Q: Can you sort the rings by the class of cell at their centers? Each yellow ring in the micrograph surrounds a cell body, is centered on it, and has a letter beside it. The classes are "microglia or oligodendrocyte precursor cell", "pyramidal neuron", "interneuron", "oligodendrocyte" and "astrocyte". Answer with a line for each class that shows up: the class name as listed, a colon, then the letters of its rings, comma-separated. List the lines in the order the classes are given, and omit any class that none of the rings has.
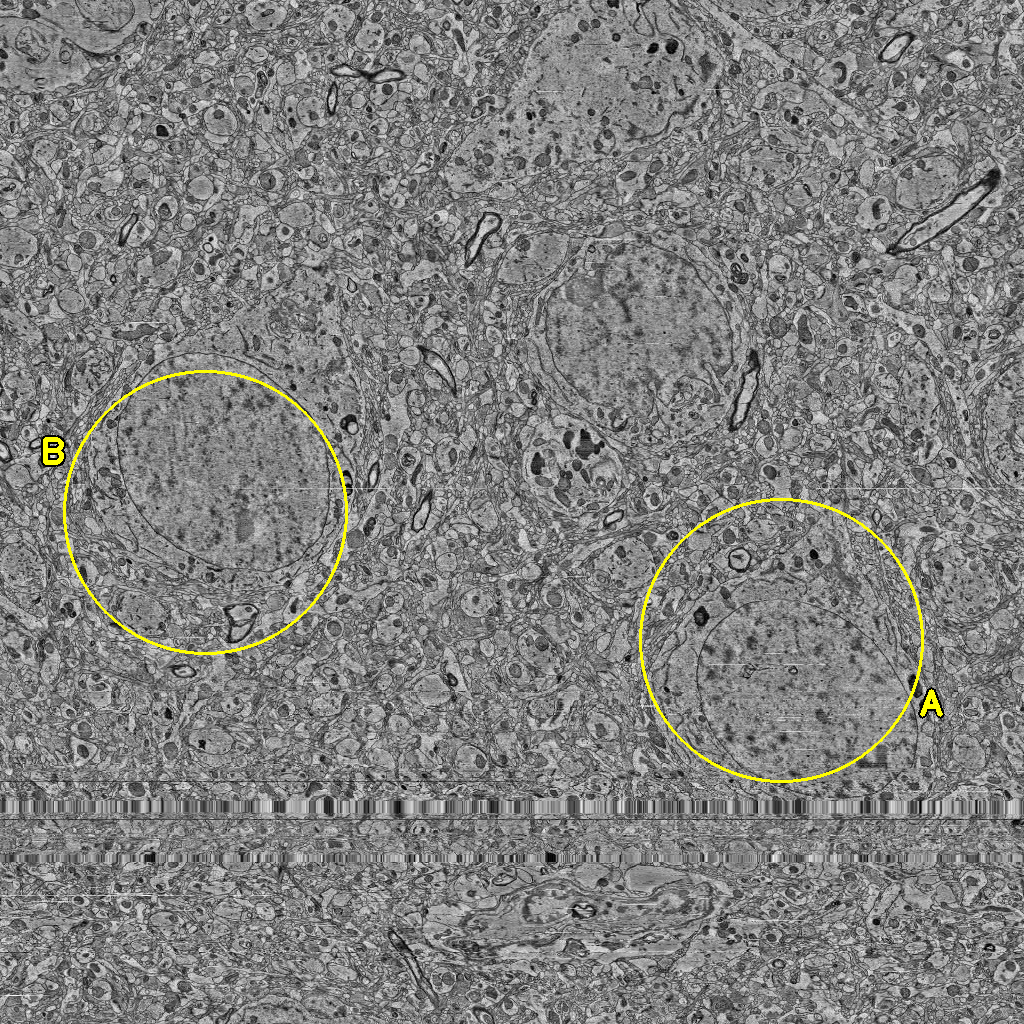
pyramidal neuron: A, B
